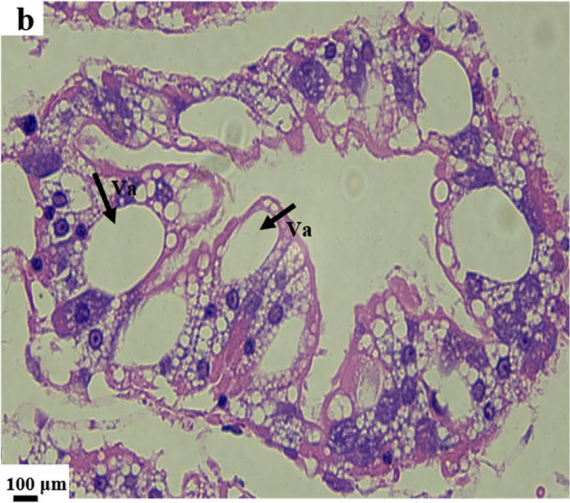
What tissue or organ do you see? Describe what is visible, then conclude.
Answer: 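Tubules lined by epithelial cells around open lumina. The epithelial cells are full of many small clear vacuoles. Large round nuclei with visible nucleoli sit in the cells. That points to this answer: hepatopancreas.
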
